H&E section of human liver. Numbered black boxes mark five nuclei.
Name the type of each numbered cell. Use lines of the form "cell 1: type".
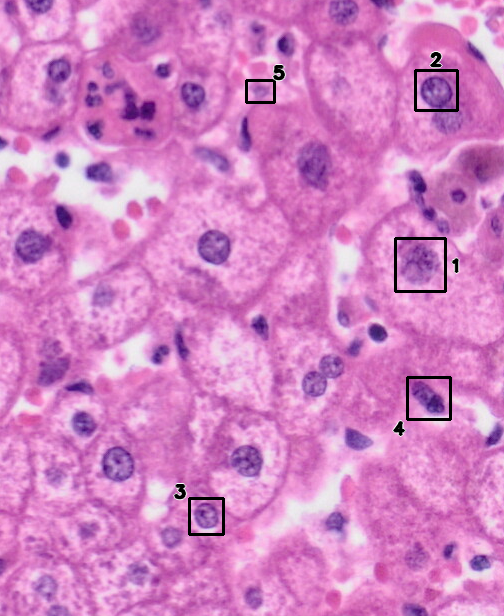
cell 1: hepatocyte
cell 2: hepatocyte
cell 3: hepatocyte
cell 4: Kupffer cell
cell 5: Kupffer cell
